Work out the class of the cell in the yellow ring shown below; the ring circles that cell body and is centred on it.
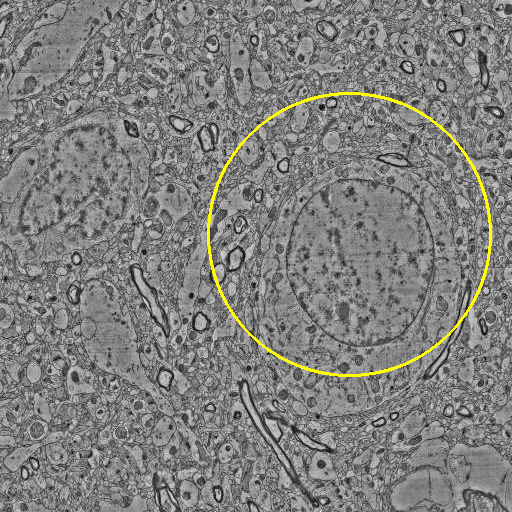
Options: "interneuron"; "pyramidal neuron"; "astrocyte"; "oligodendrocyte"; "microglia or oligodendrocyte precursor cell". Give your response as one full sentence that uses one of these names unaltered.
The body ringed in yellow, right at the ring's centre, is that of a pyramidal neuron.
